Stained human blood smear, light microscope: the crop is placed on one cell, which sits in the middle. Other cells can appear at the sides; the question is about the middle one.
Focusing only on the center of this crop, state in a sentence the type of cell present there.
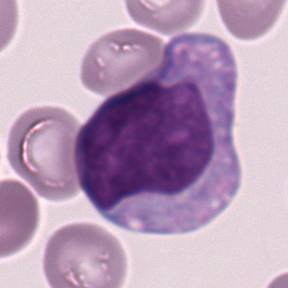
In short, the cell at the center is an atypical promyelocyte.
